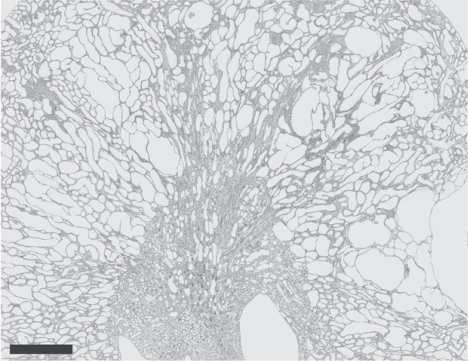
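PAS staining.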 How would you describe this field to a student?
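This is a section of kidney in which nearly the whole parenchyma is replaced by rounded and elongated empty spaces of many sizes, separated by thin gray septa. Toward the centre the tissue is denser, with narrow elongated channels converging radially on the papillary region. Little normal-looking tubular tissue remains between the dilated spaces. The picture is that of a polycystic kidney with many cysts of varying size.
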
